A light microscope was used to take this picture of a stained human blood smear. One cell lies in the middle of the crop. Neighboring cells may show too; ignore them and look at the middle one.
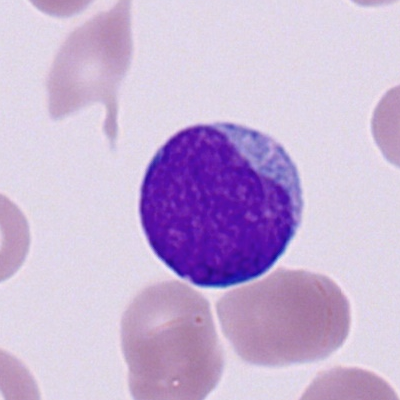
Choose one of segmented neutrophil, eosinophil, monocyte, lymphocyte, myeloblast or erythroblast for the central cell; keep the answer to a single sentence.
The cell at the heart of this crop is a myeloblast.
